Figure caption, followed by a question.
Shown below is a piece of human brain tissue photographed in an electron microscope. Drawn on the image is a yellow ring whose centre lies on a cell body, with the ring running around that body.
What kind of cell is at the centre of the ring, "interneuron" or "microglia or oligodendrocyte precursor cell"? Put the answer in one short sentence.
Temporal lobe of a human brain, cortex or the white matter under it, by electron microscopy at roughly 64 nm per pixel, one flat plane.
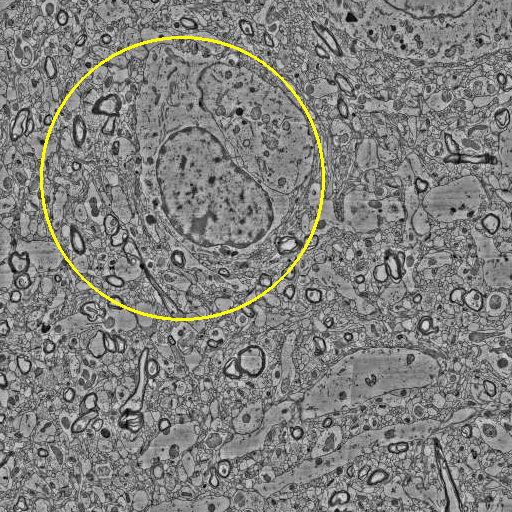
The ring marks the cell body of a microglial cell or oligodendrocyte precursor cell.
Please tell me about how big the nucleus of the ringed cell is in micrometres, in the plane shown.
Approximately 9 x 6 micrometres in this plane.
